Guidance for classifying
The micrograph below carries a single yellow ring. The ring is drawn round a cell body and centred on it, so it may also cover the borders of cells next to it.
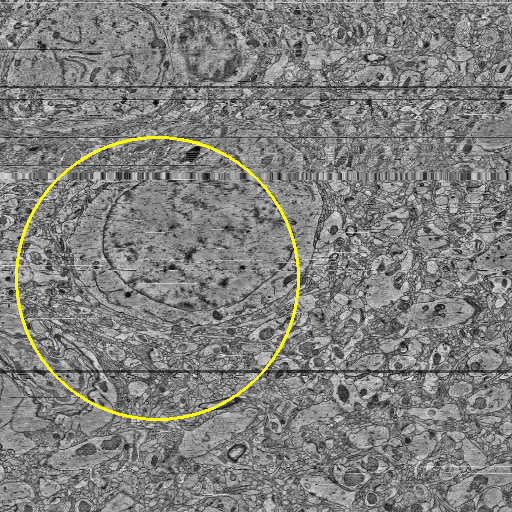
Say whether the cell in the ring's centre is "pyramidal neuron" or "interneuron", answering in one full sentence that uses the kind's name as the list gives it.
Within the yellow ring, a pyramidal neuron is the cell whose body sits at the centre.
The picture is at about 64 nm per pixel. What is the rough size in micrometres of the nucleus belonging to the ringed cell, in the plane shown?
The nucleus is about 12 micrometres across in this plane.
